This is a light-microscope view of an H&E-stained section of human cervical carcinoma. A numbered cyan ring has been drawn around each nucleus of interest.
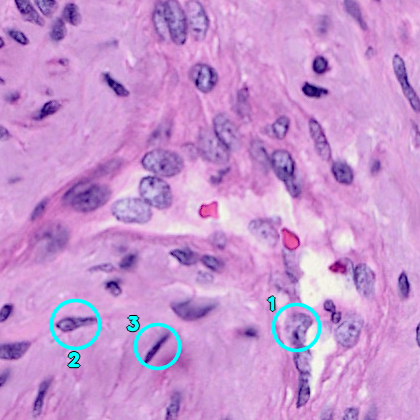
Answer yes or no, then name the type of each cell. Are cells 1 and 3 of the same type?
No, cell 1 is an endothelial cell and cell 3 is a fibroblast.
